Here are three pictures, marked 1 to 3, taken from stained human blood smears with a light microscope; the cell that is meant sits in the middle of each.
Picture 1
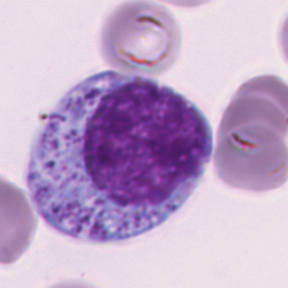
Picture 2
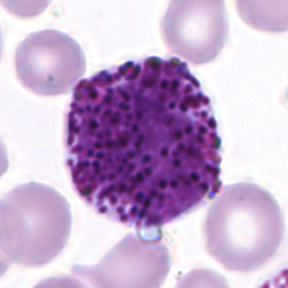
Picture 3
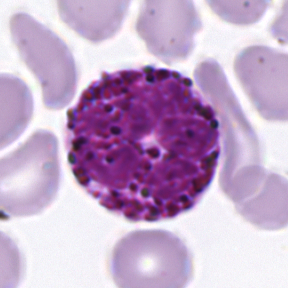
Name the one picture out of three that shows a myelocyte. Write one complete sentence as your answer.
The myelocyte is the one in picture 1.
